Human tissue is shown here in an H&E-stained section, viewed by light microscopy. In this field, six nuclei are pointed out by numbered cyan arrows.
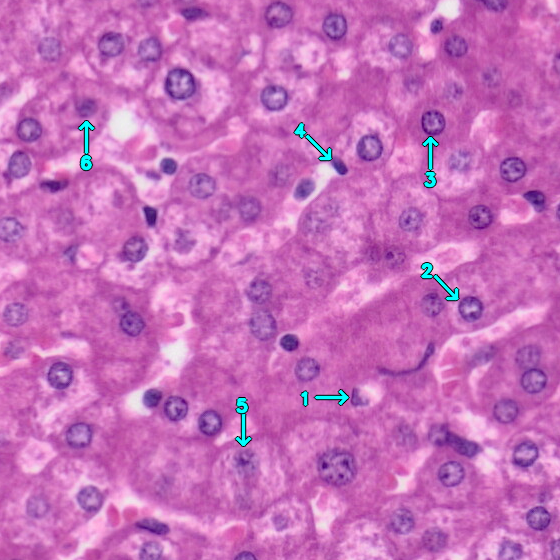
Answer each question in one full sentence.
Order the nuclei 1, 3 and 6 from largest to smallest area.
By area, largest first, they run 3, 6, 1.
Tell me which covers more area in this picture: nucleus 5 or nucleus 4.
Nucleus 5 is the larger one, covering about 2.5 times the area of nucleus 4.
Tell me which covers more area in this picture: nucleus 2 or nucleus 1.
It is nucleus 2, which covers about 2.5 times the area of nucleus 1.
